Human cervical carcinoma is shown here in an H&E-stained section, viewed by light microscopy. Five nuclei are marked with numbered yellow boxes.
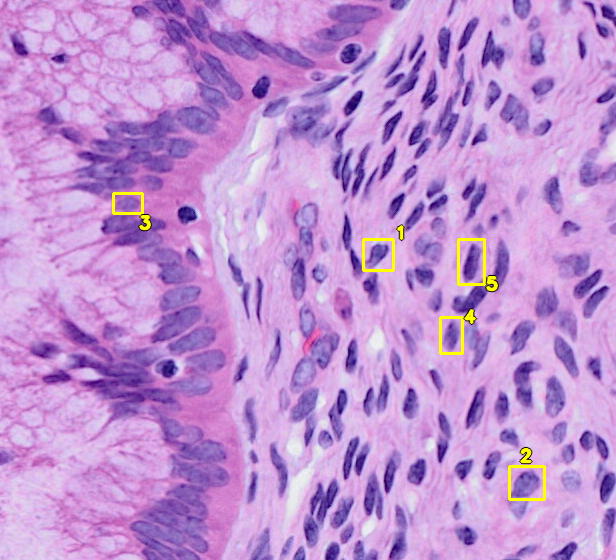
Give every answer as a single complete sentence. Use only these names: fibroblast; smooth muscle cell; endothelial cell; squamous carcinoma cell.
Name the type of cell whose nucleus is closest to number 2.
The nucleus nearest to number 2 is that of an endothelial cell.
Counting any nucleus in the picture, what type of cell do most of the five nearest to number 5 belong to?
The majority of the five nuclei closest to number 5 belong to fibroblasts.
